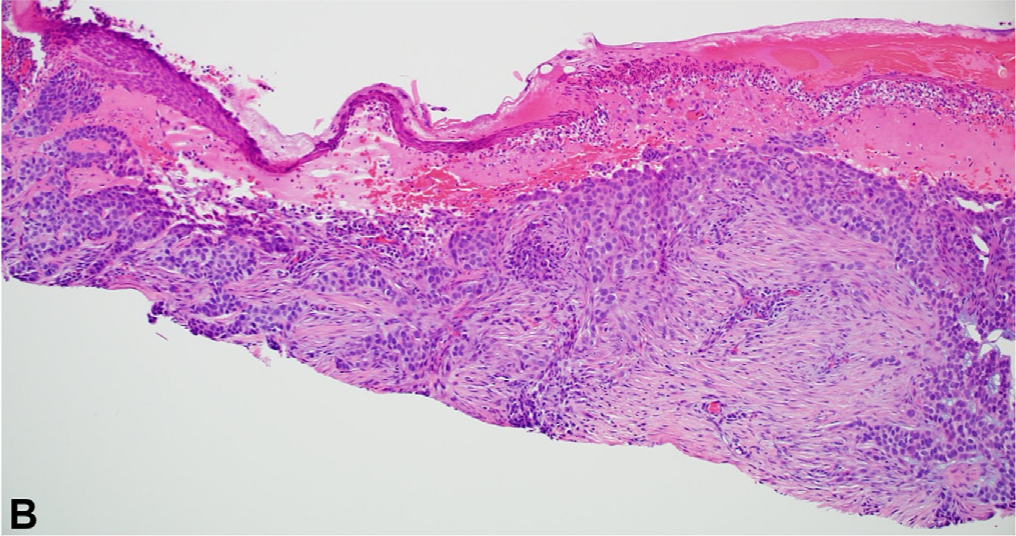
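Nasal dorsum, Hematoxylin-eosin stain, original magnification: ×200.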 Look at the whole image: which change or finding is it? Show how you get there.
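Acutely inflamed crust. A pink, amorphous layer lies on the surface at the upper right. Many small dark nuclei are scattered within and beneath this surface layer.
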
